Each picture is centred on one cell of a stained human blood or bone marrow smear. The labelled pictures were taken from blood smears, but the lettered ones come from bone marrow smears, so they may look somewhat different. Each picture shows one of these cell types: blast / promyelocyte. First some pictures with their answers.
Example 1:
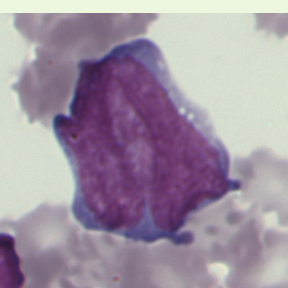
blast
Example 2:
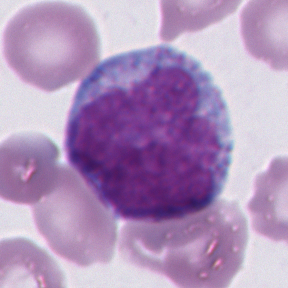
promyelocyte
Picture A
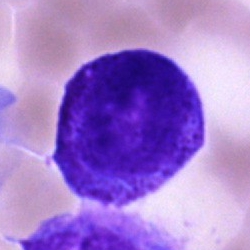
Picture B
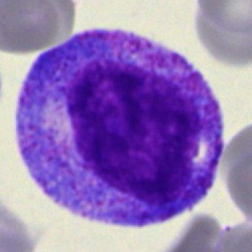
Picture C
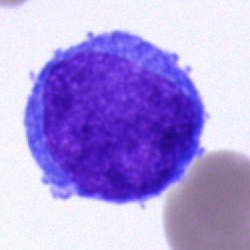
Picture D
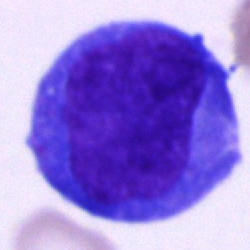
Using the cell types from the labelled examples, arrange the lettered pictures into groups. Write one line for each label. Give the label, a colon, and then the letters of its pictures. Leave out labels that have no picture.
blast: A, C, D
promyelocyte: B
